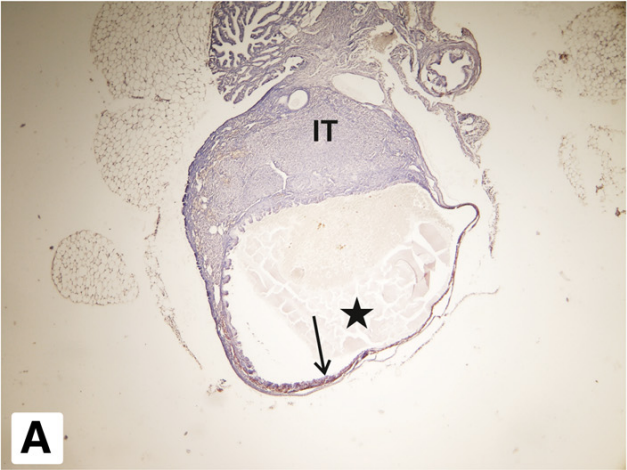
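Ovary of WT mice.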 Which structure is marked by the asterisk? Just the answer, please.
Cyst.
